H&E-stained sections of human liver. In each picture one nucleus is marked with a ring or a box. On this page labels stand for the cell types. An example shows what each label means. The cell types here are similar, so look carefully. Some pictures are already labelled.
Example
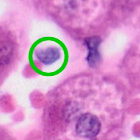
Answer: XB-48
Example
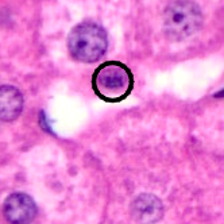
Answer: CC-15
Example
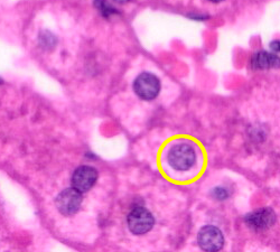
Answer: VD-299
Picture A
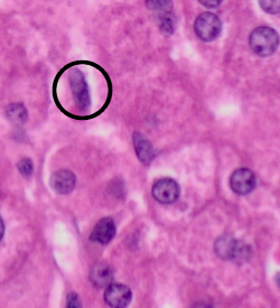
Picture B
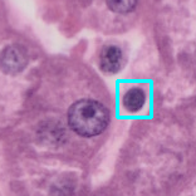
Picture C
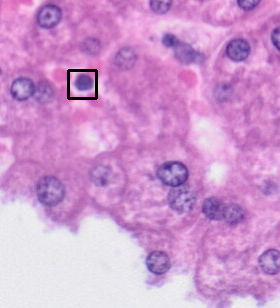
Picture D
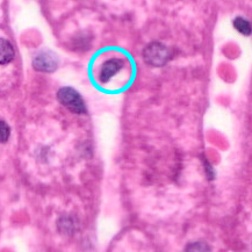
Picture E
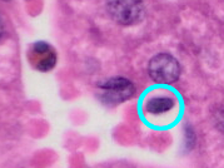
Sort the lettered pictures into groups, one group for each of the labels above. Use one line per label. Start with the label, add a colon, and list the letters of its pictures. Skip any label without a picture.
XB-48: B, C, D, E
CC-15: A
